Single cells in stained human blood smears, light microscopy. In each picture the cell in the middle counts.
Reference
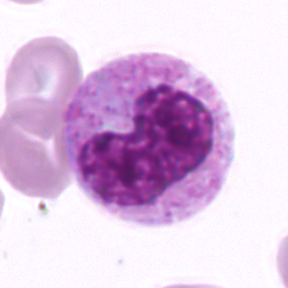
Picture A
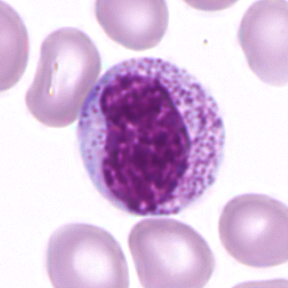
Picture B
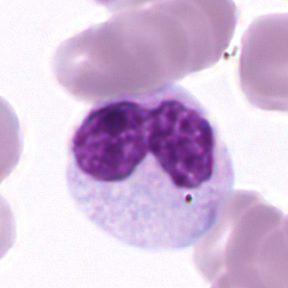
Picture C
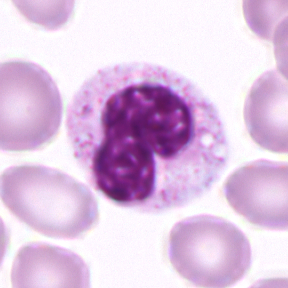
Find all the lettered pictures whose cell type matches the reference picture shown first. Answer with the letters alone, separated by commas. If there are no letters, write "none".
A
